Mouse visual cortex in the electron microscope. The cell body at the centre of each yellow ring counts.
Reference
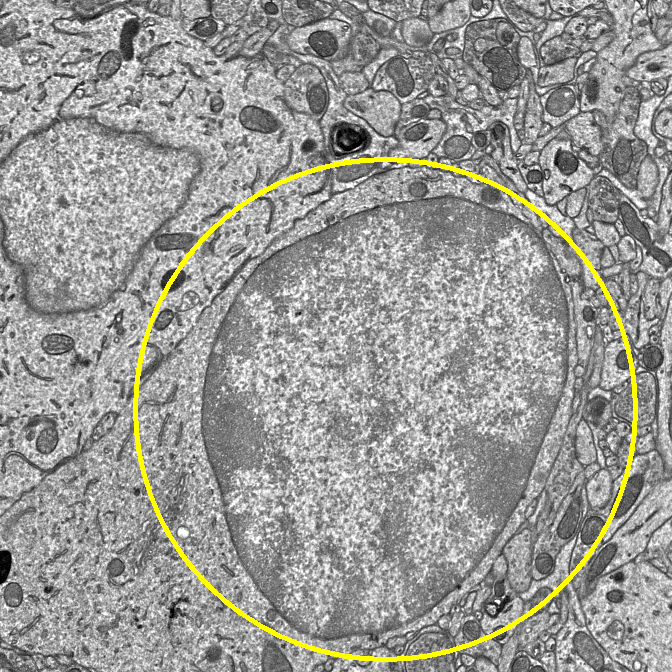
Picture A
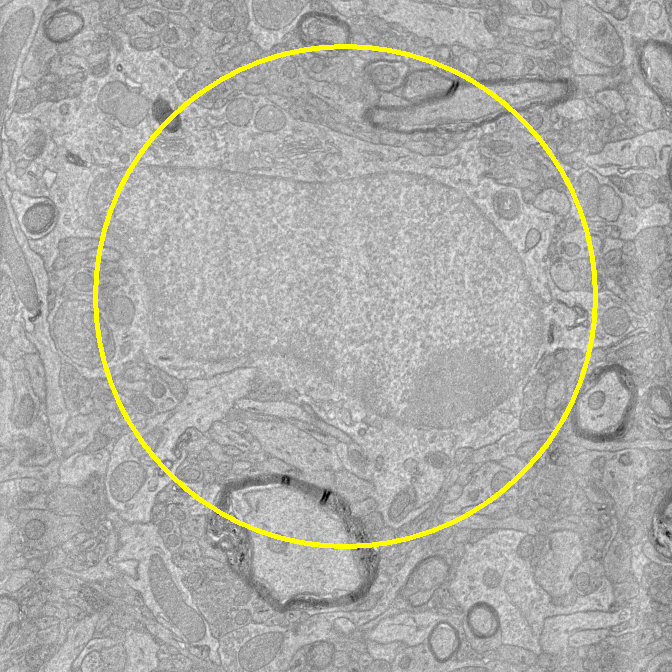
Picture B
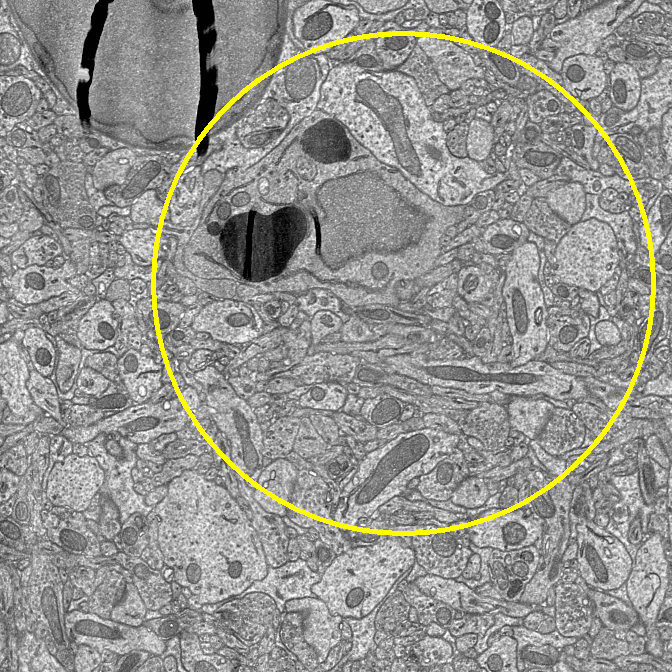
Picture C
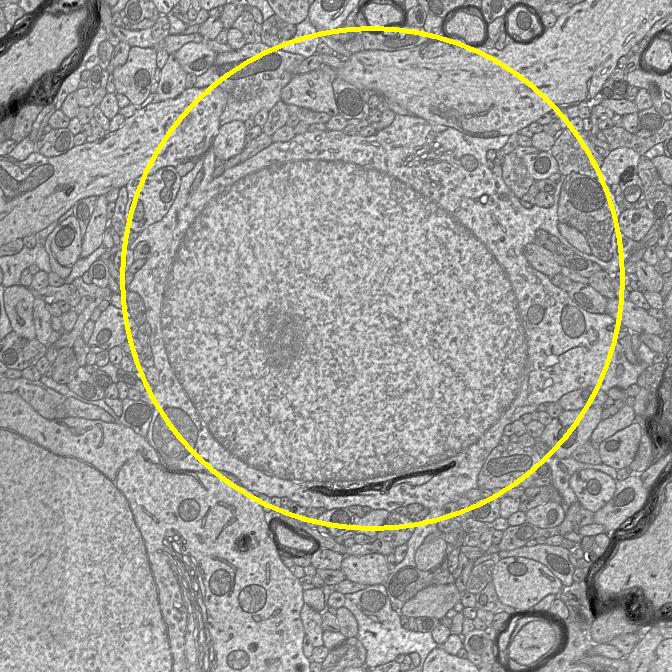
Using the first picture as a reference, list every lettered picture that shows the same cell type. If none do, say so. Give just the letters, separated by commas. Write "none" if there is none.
none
